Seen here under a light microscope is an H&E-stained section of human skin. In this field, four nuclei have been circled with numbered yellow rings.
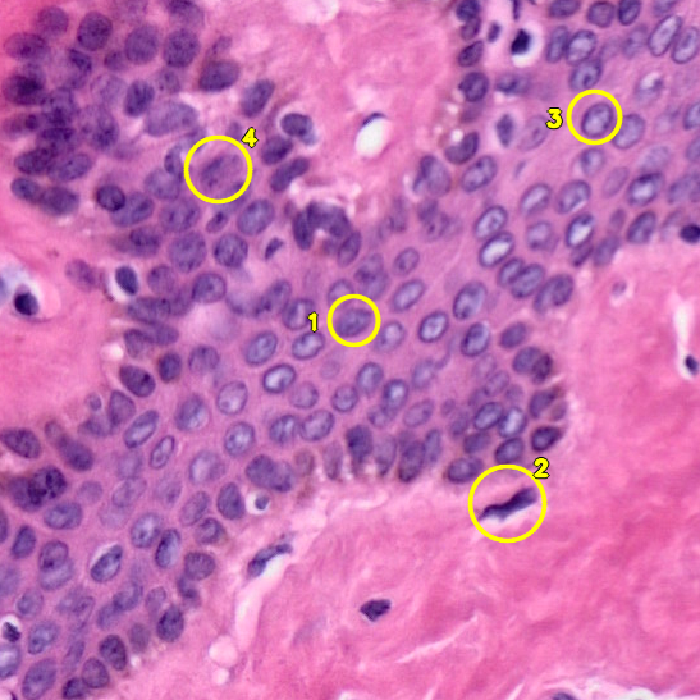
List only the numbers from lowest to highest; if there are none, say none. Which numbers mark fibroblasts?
2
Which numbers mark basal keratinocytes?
4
